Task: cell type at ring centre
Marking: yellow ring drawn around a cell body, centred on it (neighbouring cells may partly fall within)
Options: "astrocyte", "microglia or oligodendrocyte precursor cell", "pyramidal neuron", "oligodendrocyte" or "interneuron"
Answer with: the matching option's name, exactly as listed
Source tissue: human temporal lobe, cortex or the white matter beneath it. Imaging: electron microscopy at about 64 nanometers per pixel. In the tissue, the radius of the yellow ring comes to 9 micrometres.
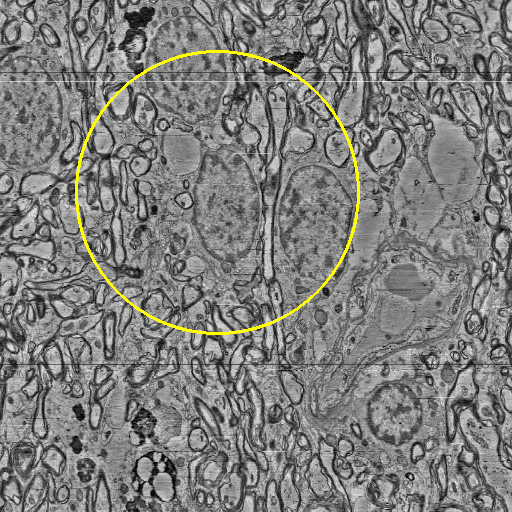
oligodendrocyte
